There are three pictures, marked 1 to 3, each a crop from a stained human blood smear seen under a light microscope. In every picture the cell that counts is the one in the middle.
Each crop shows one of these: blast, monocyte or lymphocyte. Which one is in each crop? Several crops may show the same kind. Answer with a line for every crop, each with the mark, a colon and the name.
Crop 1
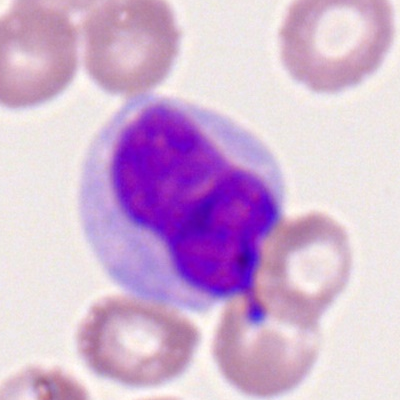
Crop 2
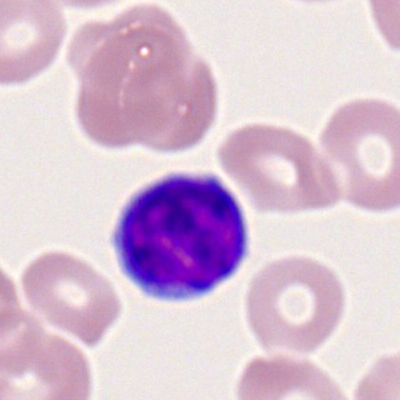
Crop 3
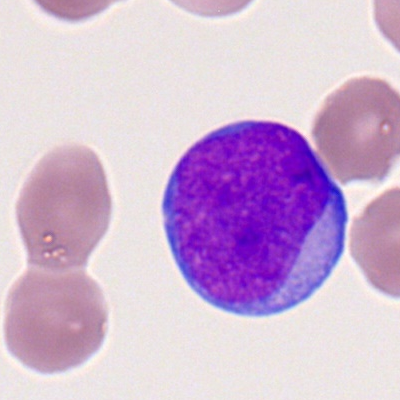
1: monocyte
2: lymphocyte
3: blast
